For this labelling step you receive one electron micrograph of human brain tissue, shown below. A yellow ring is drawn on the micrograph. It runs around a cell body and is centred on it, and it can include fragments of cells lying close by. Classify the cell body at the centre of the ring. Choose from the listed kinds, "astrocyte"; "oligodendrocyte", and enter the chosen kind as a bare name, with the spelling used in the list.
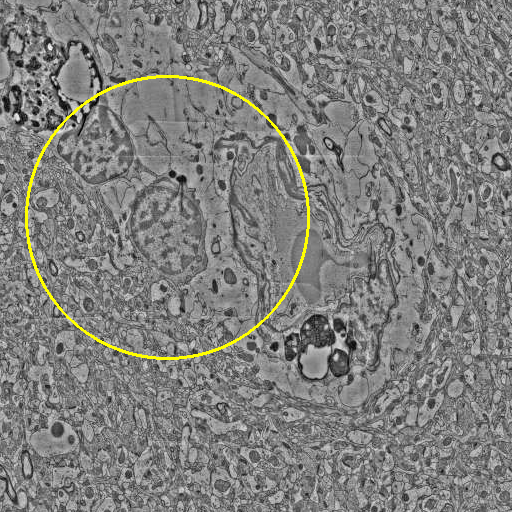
oligodendrocyte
